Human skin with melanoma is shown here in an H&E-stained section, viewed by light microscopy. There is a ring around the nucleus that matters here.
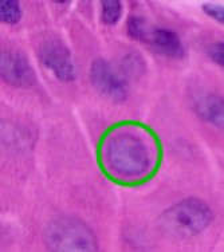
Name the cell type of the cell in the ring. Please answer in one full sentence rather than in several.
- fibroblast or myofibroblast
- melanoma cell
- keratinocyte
The classification of the cell in the ring is as a keratinocyte.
